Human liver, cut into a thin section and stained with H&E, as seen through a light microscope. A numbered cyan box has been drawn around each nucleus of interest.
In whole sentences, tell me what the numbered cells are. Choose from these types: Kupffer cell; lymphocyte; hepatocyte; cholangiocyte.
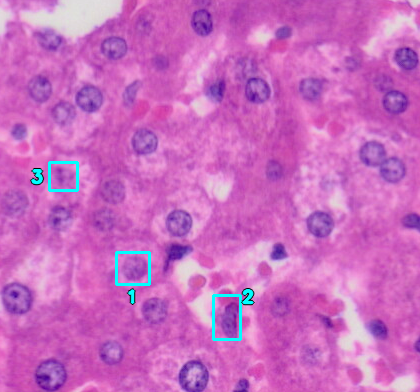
Cells 1 and 3 are hepatocytes. Cell 2 is a Kupffer cell.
